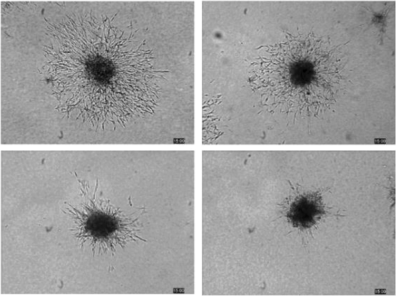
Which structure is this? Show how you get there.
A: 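Each image shows a dense, dark, roughly round multicellular mass at its center. Elongated cells radiate outward from the mass into the surrounding matrix. On this evidence: spheroid.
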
